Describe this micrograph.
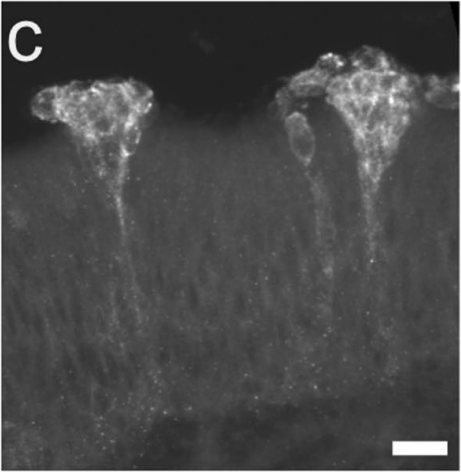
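The labeled cells form two clusters of rounded to oval cell bodies, their outlines bright, packed at the apical surface. From each cluster thin labeled processes taper downward into the depth of the epithelium. The rest of the epithelium shows only a faint vertical striated background.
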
